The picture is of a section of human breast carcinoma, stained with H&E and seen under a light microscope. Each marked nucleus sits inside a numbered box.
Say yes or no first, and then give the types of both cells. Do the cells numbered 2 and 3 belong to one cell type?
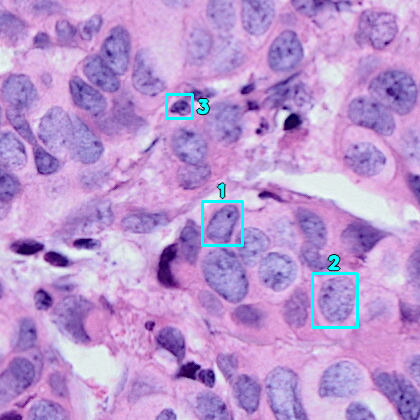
No, the proper labels are a carcinoma cell for cell 2 and a lymphocyte for cell 3.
